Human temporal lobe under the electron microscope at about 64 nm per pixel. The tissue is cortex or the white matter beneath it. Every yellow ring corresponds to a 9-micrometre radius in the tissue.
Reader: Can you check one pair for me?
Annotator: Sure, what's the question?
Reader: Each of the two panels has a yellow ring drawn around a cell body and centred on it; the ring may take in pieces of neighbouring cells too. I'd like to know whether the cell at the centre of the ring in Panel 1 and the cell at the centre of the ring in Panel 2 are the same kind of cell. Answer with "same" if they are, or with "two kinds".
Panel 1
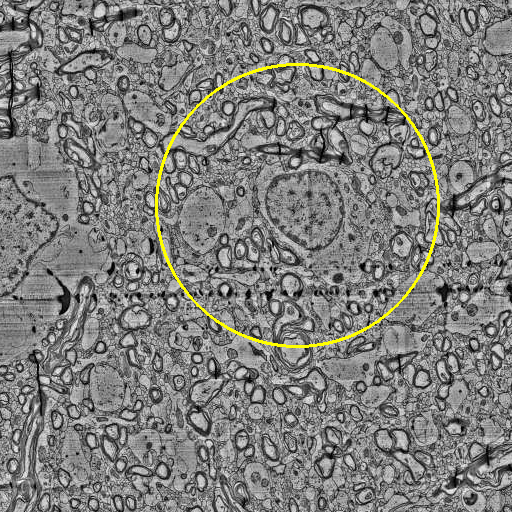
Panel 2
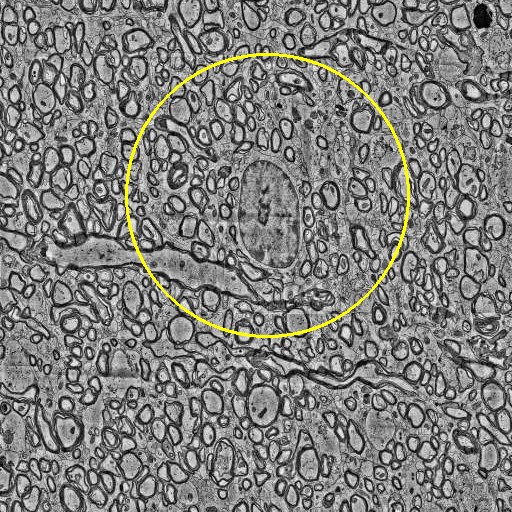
same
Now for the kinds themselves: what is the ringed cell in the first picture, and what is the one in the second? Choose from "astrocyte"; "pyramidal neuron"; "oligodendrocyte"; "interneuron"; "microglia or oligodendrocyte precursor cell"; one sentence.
In both pictures the ring is centred on a microglial cell or oligodendrocyte precursor cell.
